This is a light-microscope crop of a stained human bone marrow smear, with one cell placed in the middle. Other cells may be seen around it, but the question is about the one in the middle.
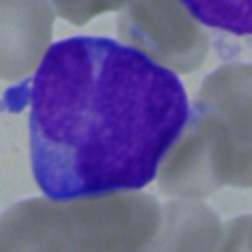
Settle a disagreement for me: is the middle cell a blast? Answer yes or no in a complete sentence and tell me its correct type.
Yes, the cell occupying the center is a blast.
